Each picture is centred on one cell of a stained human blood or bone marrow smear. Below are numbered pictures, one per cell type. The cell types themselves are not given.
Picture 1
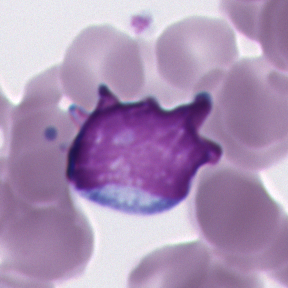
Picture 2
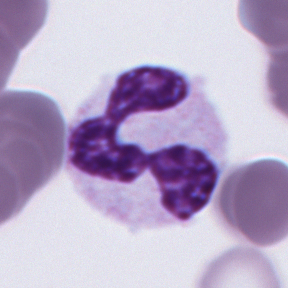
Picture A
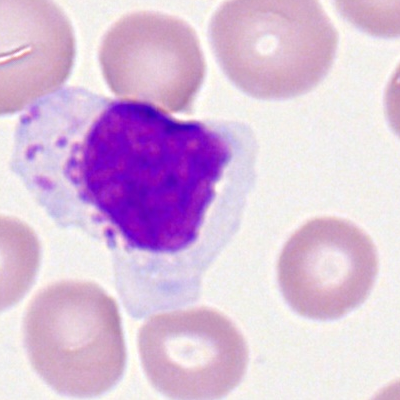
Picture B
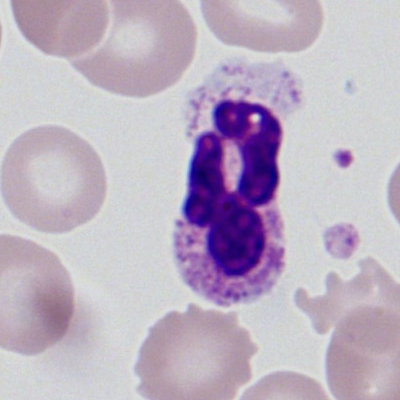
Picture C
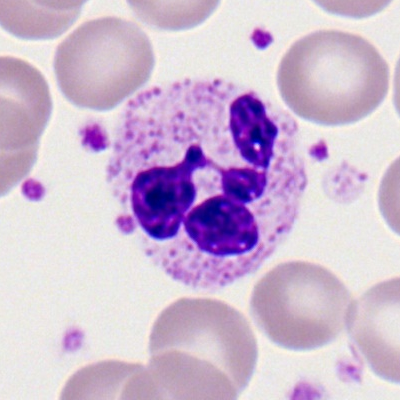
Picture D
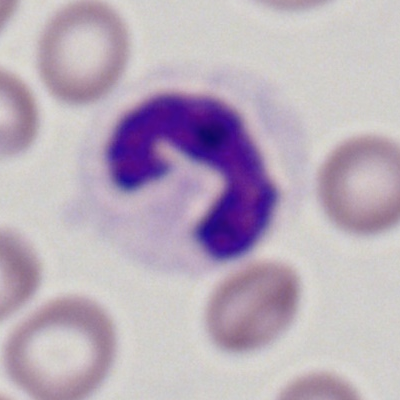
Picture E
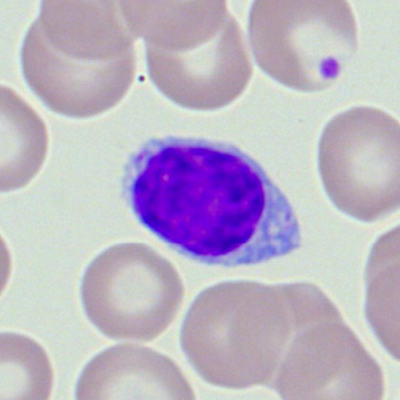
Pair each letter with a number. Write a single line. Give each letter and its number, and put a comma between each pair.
A 1, B 2, C 2, D 2, E 1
